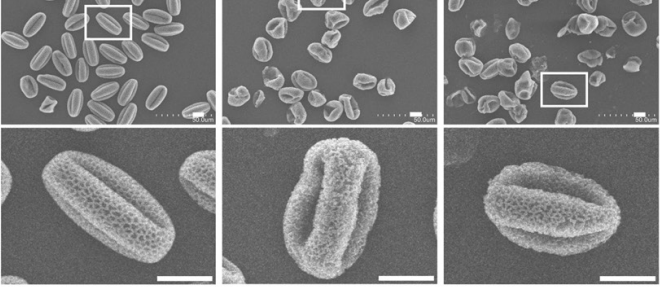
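Scanning electron micrographs of pollen grains, with overviews above and single grains enlarged below. In the left column the grains are uniform elongated ellipsoids with longitudinal furrows and a net-like surface. In the middle and right columns many grains are misshapen, rounded or partly collapsed, though some keep a furrowed ellipsoid form with the same net-like sculpturing.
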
